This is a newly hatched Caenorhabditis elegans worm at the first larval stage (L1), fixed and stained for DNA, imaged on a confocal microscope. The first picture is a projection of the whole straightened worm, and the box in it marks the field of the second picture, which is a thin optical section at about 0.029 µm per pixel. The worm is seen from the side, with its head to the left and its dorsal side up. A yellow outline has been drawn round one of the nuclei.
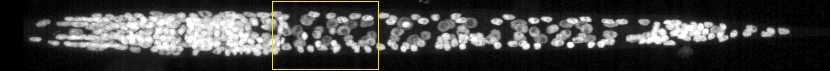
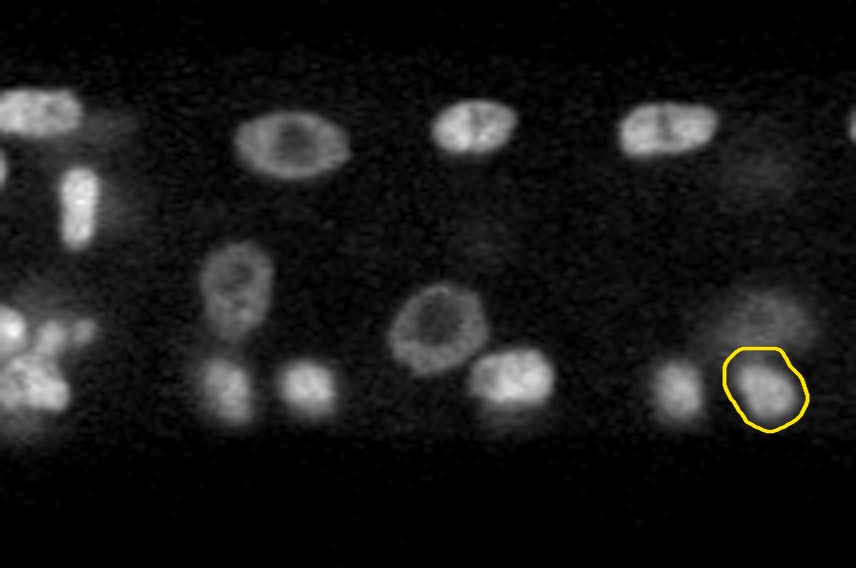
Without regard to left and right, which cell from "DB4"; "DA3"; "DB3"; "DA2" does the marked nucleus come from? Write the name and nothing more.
DB4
